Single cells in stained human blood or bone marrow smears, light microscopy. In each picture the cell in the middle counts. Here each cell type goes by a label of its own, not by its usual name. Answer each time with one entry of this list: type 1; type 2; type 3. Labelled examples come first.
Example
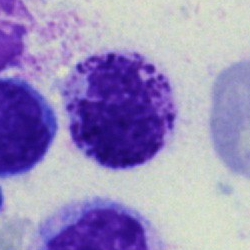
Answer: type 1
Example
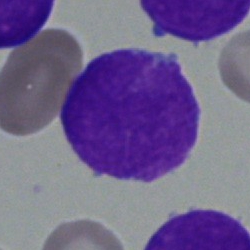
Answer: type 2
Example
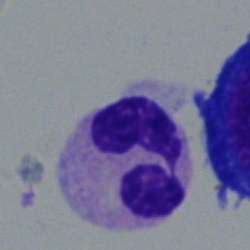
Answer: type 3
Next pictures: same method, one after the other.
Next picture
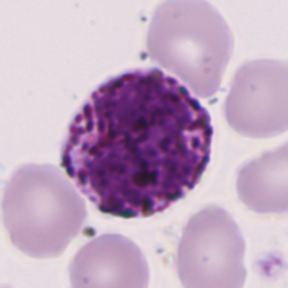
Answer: type 1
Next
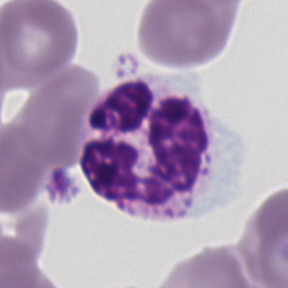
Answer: type 3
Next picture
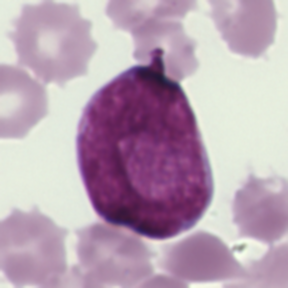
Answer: type 2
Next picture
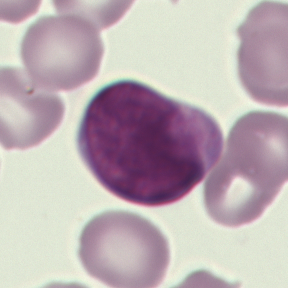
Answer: type 2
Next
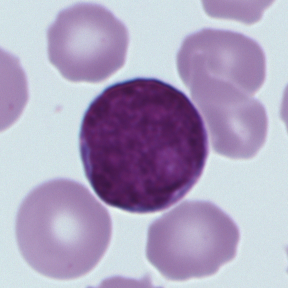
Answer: type 2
